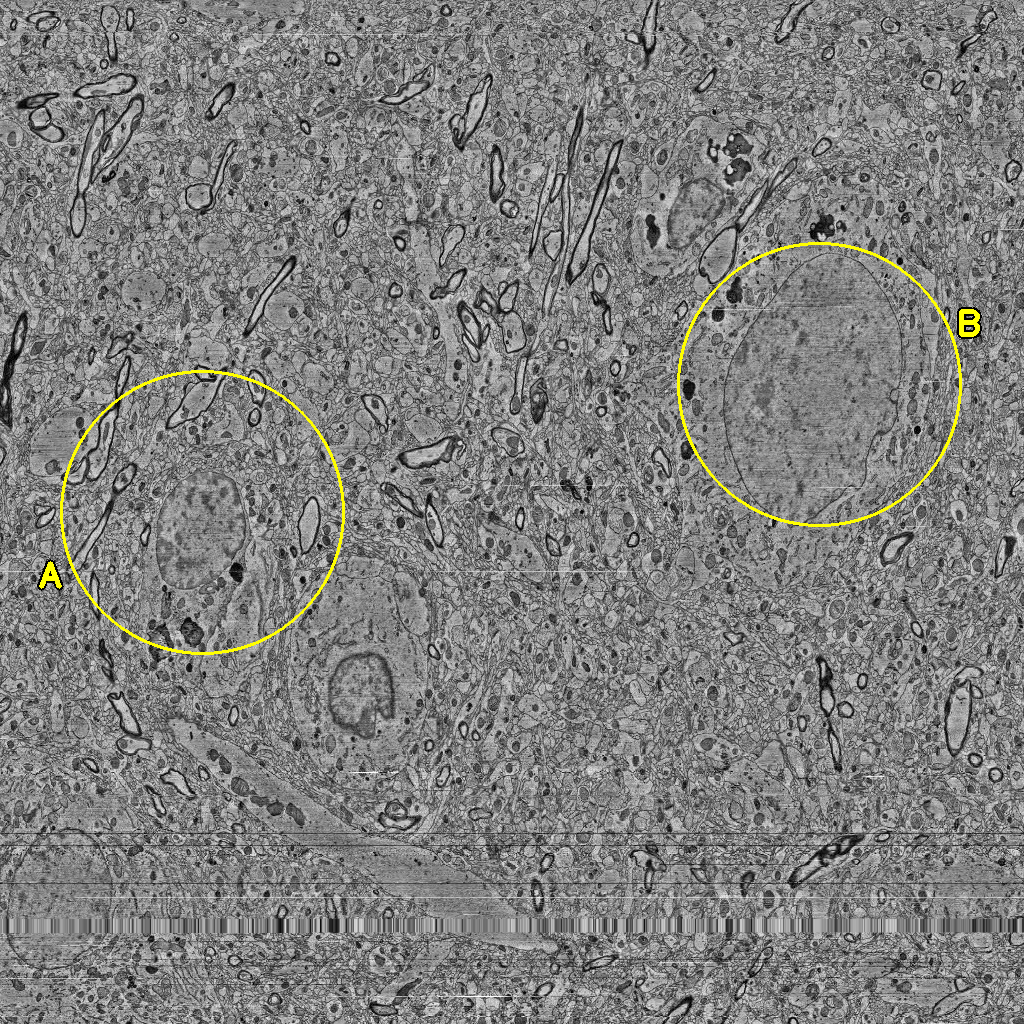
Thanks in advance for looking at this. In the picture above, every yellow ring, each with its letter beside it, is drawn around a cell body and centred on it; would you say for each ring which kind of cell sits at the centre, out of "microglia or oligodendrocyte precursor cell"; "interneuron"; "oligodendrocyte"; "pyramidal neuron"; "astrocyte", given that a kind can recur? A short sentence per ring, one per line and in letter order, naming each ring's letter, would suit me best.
The cell body in ring A belongs to an oligodendrocyte.
The cell body in ring B belongs to a pyramidal neuron.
